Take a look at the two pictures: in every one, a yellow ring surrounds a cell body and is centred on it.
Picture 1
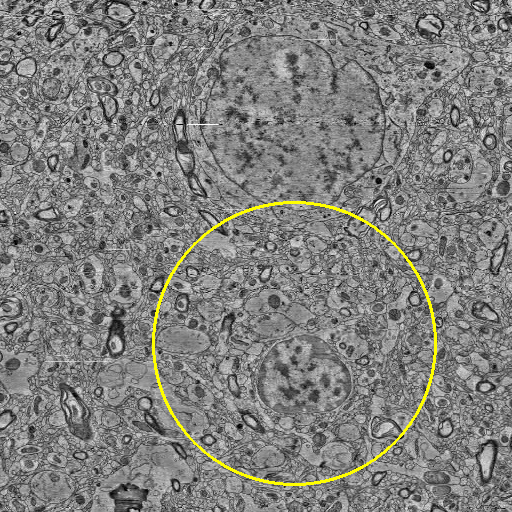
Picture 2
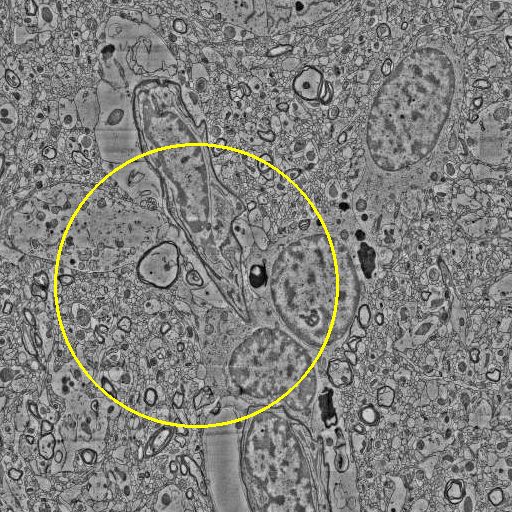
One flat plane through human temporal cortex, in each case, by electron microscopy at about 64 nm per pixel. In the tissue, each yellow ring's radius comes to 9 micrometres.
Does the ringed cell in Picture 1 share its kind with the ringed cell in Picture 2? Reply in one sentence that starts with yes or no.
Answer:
Yes, the two centred cells, one per picture, are of one kind.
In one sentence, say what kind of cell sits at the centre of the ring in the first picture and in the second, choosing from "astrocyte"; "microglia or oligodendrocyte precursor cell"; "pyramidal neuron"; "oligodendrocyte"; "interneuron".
Both the first and the second picture show a microglial cell or oligodendrocyte precursor cell in the ring.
